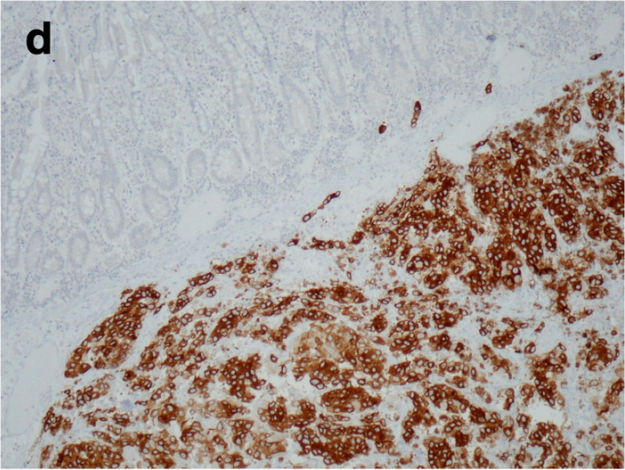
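Here the same intestinal wall shows pale blue unstained mucosal crypts in the upper left and a mass of brown-stained tumor cells in the lower right. The brown colour lies in the cytoplasm, outlining the cells and leaving round pale nuclei in their centres, so that the cells appear as rings. The tumor cells are packed in nests and cords separated by thin pale strands of stroma. The border between the brown tumor and the unstained mucosa runs diagonally across the field, with a few brown cells lying singly near it.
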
